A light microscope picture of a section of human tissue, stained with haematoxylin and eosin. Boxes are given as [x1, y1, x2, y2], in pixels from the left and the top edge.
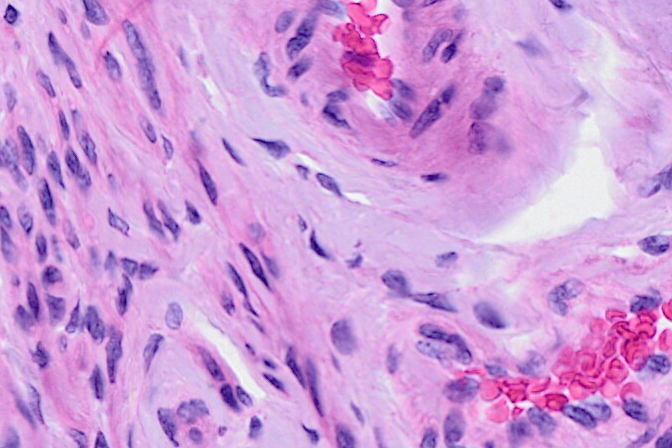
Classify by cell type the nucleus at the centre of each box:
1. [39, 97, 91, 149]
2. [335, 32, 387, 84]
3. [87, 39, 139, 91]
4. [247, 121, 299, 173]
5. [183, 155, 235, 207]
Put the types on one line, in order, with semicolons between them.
smooth muscle cell; endothelial cell; smooth muscle cell; fibroblast; smooth muscle cell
